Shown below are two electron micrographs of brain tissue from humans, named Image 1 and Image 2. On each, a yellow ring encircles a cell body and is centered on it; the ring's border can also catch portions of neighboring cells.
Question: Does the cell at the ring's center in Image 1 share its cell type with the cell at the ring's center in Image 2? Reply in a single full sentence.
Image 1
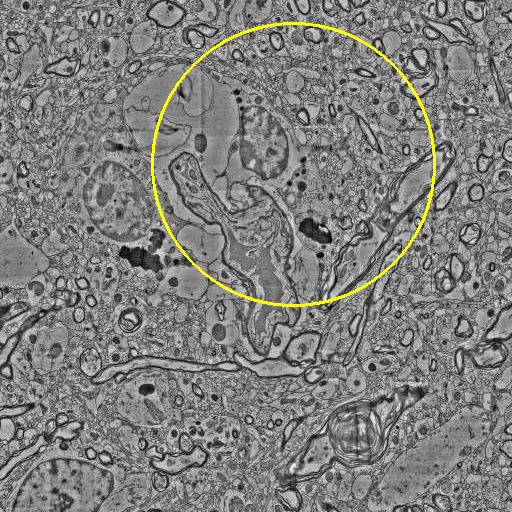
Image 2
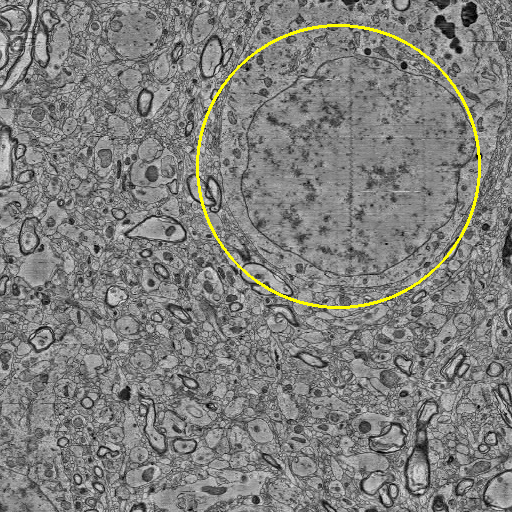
No, the two cells at the ring centers, in Image 1 and Image 2, are of two cell types.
